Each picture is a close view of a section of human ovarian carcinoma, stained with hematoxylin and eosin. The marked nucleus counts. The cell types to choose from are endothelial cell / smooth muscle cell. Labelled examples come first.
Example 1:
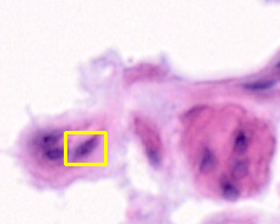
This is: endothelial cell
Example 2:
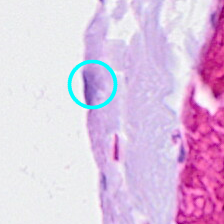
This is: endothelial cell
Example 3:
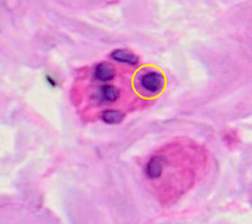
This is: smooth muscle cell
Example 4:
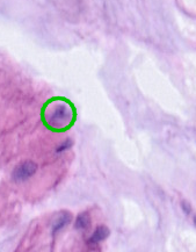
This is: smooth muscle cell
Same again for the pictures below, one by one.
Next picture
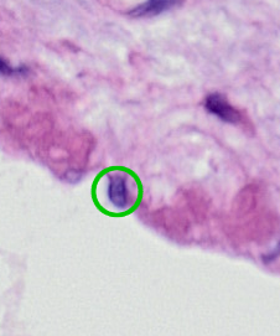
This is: endothelial cell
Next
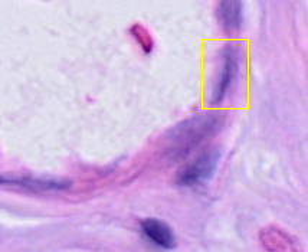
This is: endothelial cell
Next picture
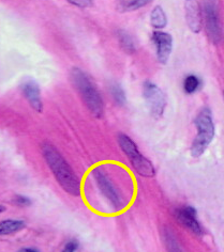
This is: smooth muscle cell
